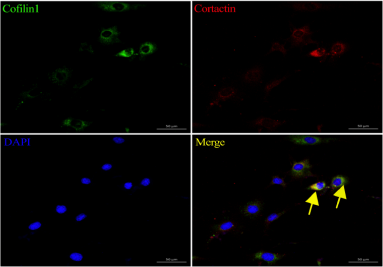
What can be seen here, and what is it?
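Scattered cultured cells lie well apart on a dark field, each with a single oval blue nucleus. The green and the red stain sit in the cytoplasm close around the nuclei of some cells. Where the two overlap in the merged image they appear yellow, so both stains occupy the same places in those cells.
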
